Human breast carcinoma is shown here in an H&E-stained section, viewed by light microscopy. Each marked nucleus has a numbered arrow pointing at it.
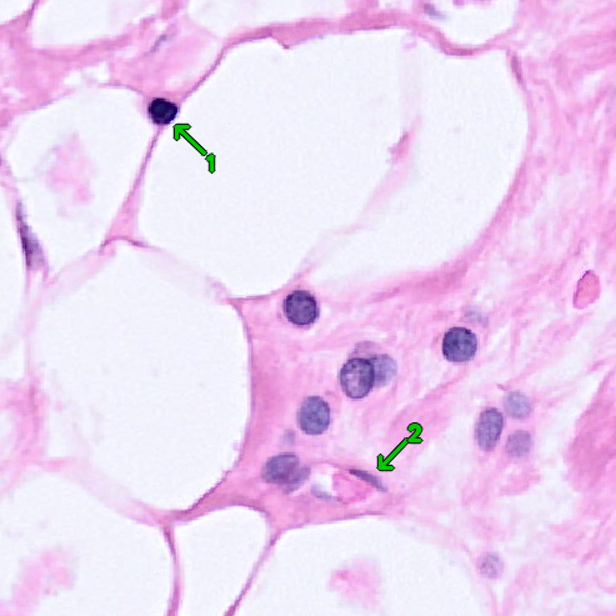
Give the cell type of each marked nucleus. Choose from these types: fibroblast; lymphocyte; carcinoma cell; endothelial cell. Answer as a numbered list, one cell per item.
1. lymphocyte
2. endothelial cell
